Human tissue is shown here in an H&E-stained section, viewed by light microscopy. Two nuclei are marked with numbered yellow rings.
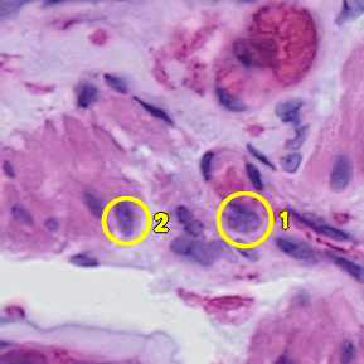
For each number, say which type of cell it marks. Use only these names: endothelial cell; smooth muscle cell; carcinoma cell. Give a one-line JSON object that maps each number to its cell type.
{"1": "endothelial cell", "2": "smooth muscle cell"}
